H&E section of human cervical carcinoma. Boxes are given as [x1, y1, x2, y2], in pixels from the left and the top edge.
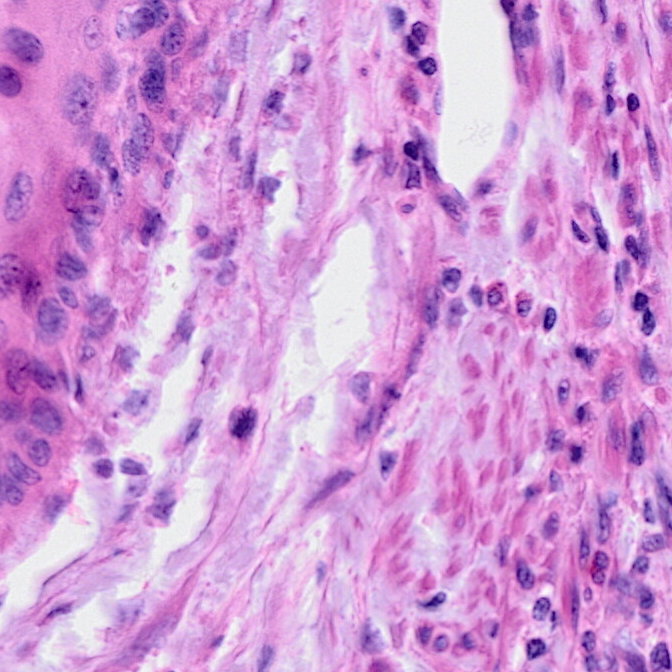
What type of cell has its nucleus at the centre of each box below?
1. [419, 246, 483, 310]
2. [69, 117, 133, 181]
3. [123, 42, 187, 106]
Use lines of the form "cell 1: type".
cell 1: lymphocyte
cell 2: squamous carcinoma cell
cell 3: squamous carcinoma cell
